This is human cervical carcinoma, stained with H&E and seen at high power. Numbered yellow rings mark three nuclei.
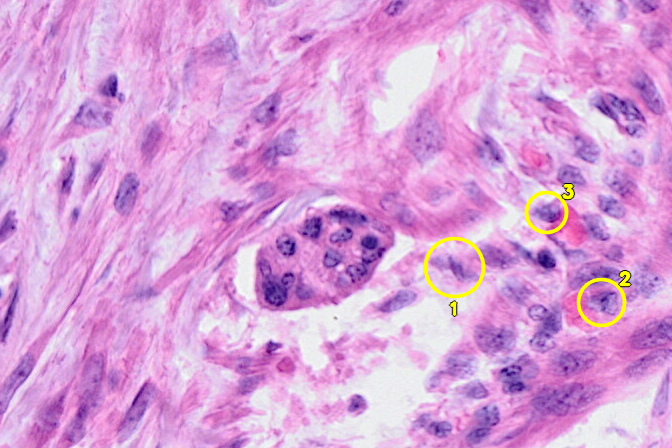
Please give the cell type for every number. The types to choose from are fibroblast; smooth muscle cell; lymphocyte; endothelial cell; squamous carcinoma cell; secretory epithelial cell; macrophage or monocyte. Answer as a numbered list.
1. fibroblast
2. endothelial cell
3. endothelial cell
